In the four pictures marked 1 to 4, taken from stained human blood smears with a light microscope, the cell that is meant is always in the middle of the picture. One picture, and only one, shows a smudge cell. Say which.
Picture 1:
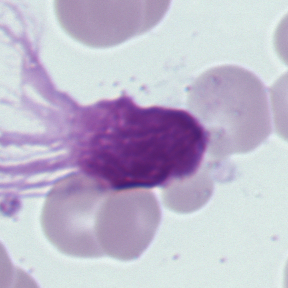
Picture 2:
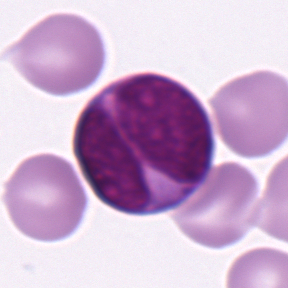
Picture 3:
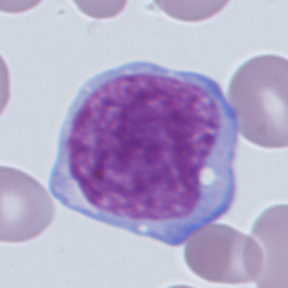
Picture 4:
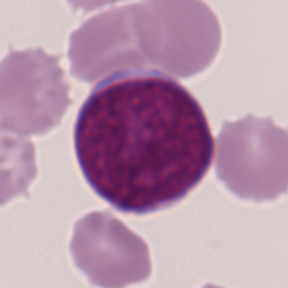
1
